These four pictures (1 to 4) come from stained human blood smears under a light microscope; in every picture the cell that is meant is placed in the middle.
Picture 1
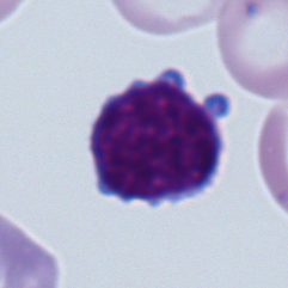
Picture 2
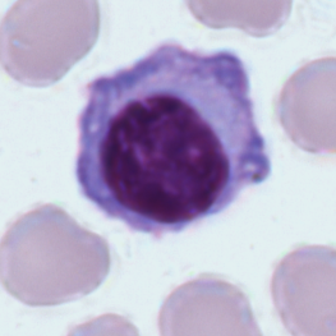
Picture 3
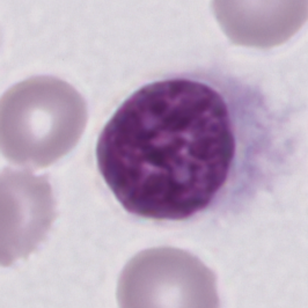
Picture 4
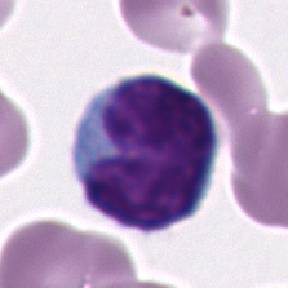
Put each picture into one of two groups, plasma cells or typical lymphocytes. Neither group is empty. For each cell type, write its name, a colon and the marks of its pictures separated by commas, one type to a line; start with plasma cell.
plasma cell: 2, 3
typical lymphocyte: 1, 4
